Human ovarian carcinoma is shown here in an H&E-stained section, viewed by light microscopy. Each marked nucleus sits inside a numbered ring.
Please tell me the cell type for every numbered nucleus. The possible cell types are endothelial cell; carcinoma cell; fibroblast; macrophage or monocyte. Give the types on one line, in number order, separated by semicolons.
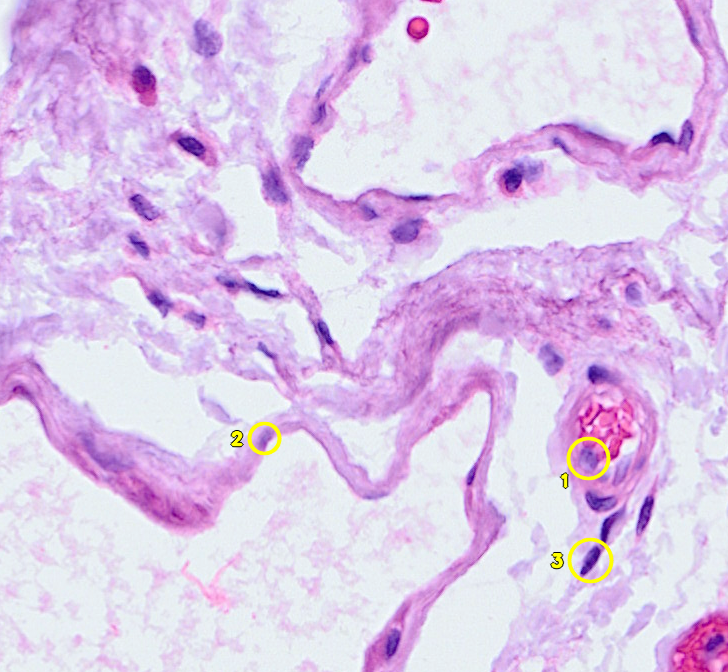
endothelial cell; endothelial cell; fibroblast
